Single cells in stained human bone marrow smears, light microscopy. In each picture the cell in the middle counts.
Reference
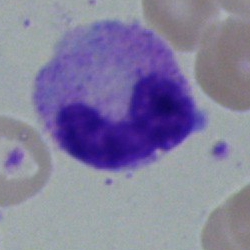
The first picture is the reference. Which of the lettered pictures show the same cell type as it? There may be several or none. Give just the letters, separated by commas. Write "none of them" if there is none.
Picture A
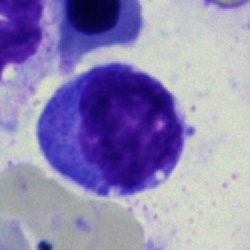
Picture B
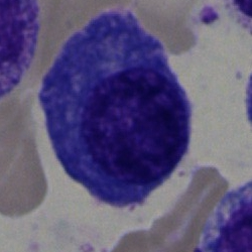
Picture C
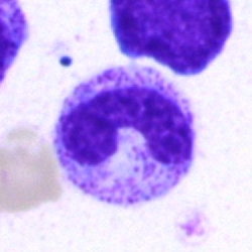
C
